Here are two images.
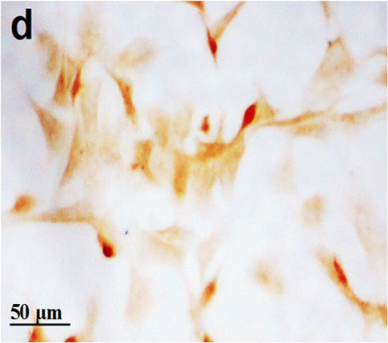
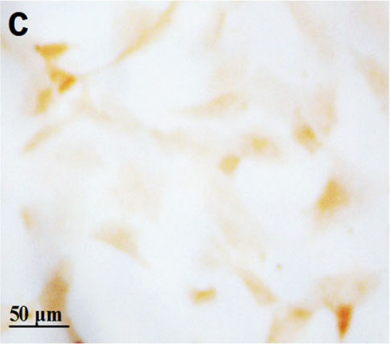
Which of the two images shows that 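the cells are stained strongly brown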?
the first image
